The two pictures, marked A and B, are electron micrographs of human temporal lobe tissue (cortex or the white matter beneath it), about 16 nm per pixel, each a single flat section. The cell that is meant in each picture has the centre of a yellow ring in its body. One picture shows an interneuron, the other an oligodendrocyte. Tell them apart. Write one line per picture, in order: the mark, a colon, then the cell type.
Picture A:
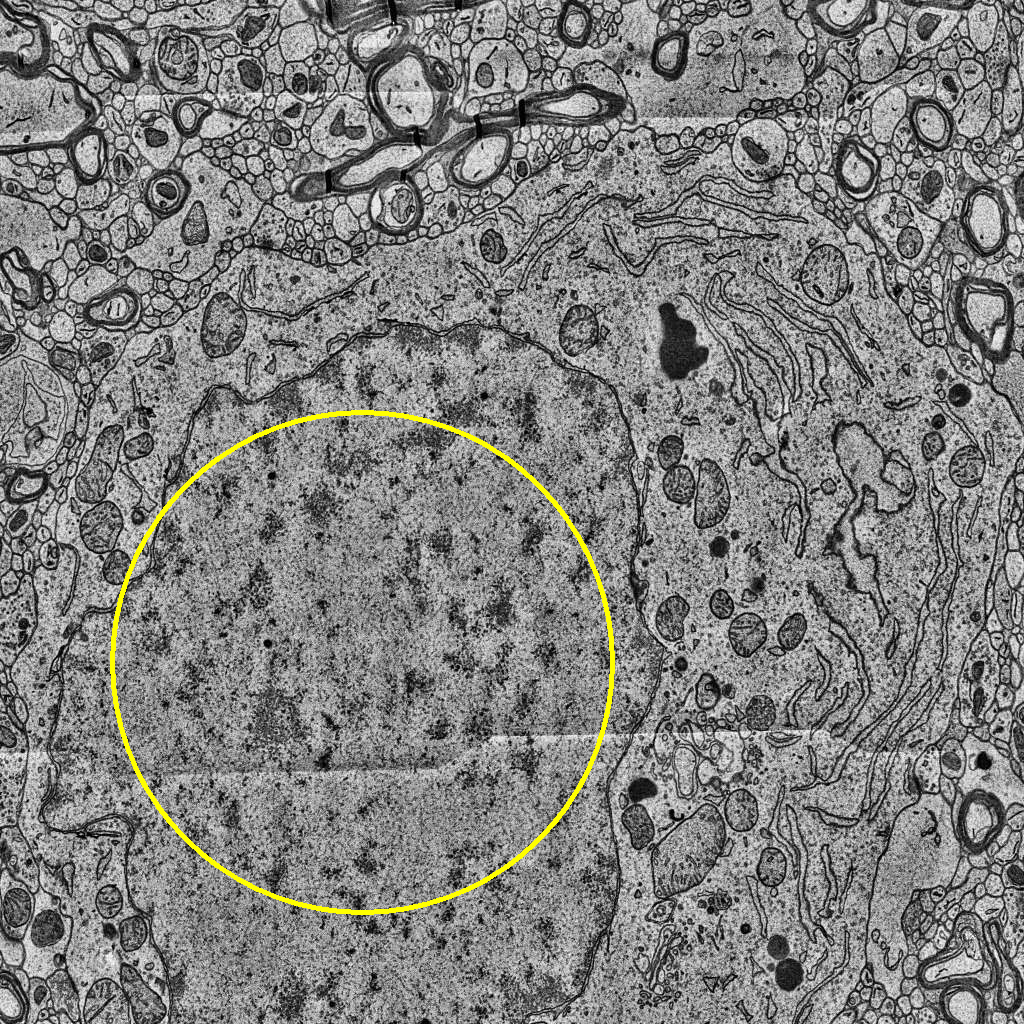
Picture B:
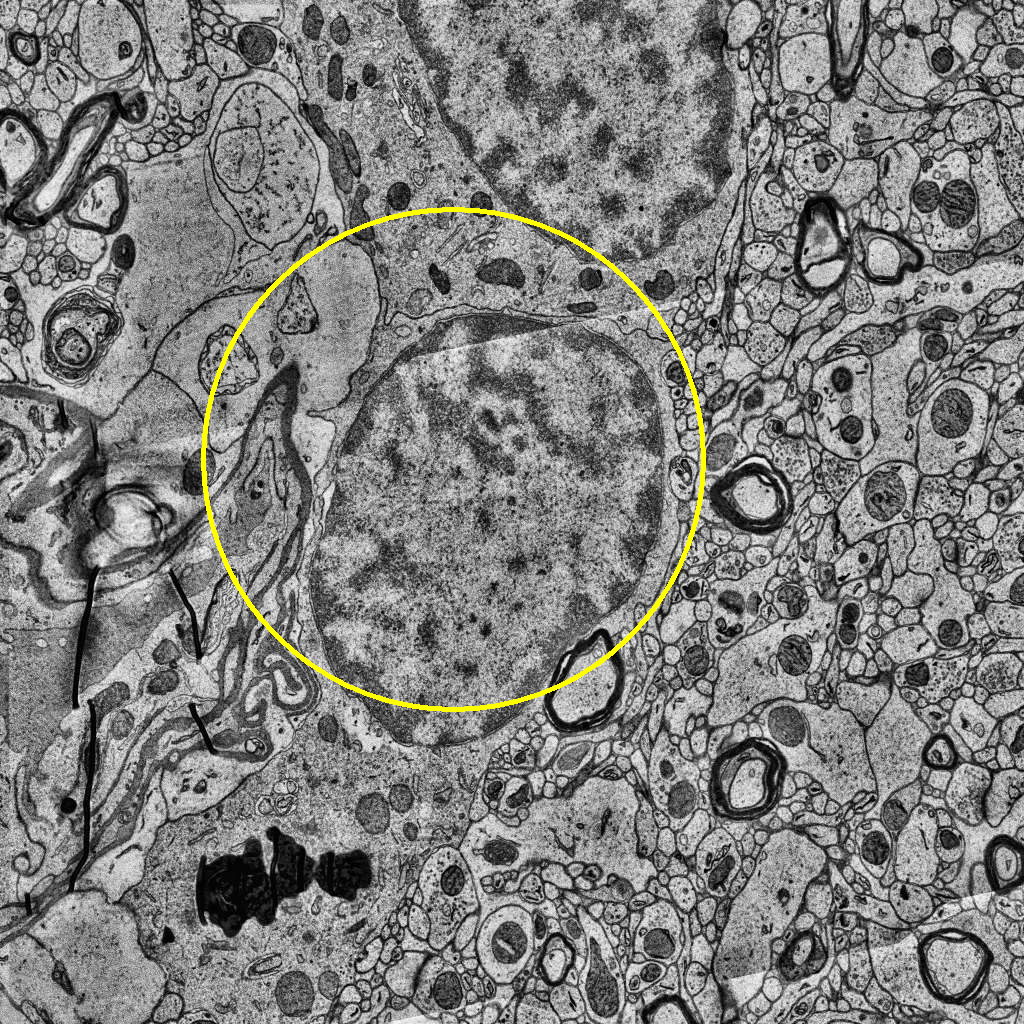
A: interneuron
B: oligodendrocyte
